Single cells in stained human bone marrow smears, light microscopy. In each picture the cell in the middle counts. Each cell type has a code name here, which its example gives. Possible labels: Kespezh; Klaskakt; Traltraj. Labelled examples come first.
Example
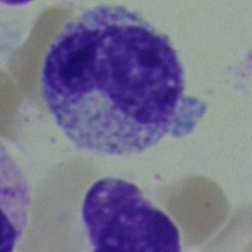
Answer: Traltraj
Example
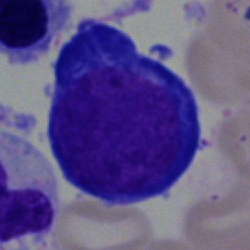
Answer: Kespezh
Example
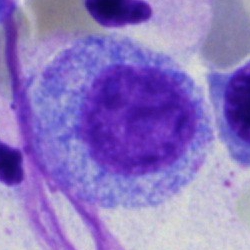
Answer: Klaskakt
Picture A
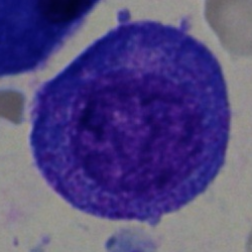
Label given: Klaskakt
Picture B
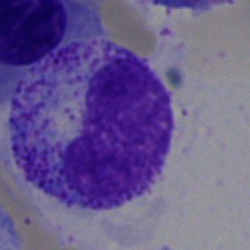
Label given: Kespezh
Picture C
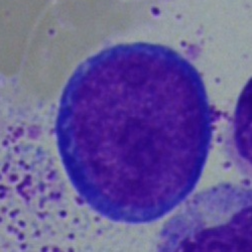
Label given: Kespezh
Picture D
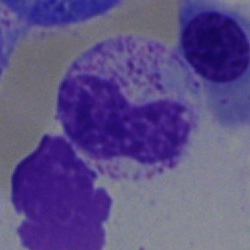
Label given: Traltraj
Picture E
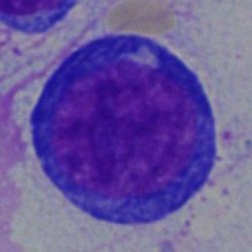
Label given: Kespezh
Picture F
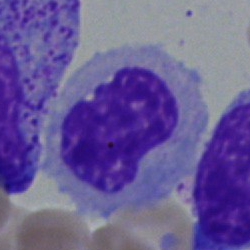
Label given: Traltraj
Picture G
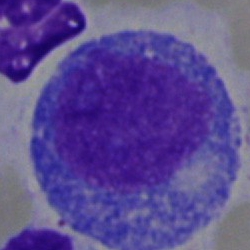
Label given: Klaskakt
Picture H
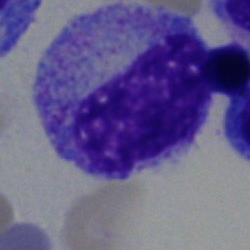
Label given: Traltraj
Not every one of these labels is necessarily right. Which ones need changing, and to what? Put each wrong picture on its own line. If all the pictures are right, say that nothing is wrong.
B should be Traltraj, not Kespezh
